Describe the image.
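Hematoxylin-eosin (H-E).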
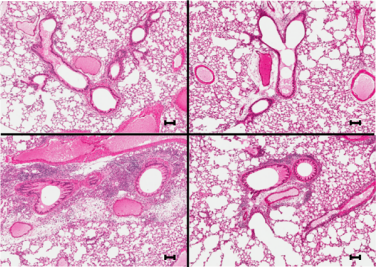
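Four low-power fields of lung show a fine pink lace of alveolar walls surrounding round and branching airways and blood vessels. In the lower two fields, the tissue around airways and vessels is thickened by dense cuffs of small cells with purple nuclei, far more extensive in the lower-left field, where the cuffs merge into broad sheets. The upper two fields show thin walls around airways and vessels with little such cellular cuffing.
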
